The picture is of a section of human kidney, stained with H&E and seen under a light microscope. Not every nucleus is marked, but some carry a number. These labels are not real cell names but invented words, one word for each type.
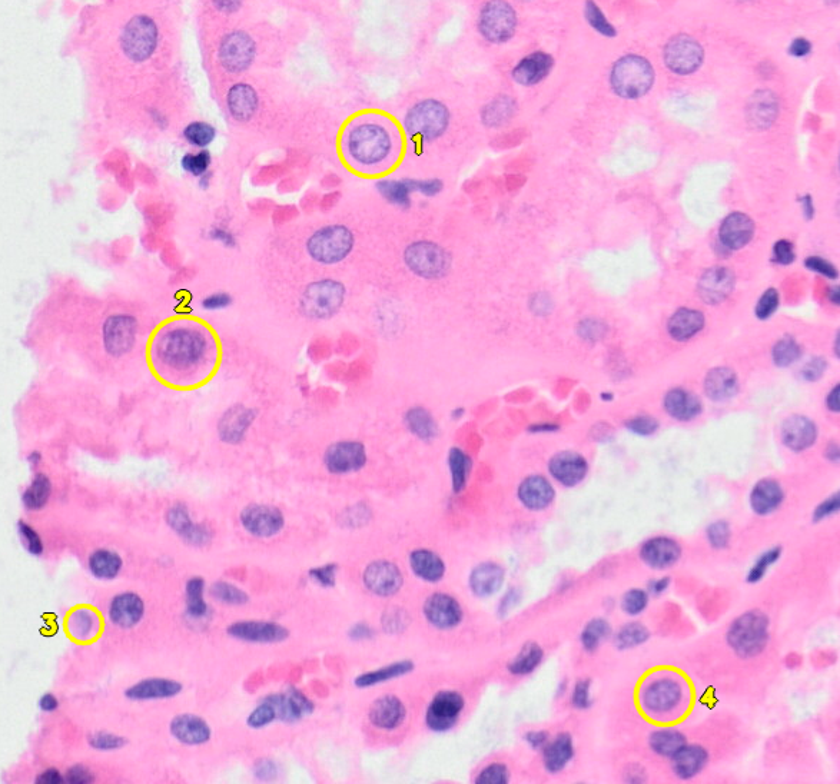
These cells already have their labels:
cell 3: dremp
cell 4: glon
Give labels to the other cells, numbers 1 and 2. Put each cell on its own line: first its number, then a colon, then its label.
1: glon
2: glon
